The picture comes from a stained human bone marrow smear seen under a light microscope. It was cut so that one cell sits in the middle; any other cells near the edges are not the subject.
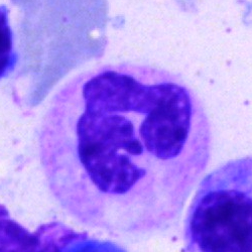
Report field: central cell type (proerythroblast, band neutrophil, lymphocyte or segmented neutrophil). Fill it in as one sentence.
The cell at the centre of the field is a segmented neutrophil.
